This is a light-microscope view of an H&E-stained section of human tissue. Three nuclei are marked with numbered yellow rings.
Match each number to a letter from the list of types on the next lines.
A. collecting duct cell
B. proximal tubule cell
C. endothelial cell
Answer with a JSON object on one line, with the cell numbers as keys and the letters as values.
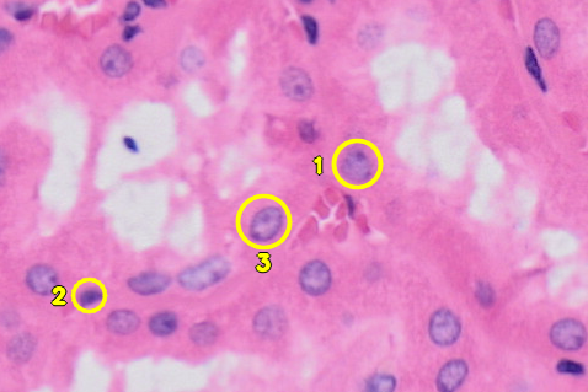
{"1": "B", "2": "C", "3": "B"}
